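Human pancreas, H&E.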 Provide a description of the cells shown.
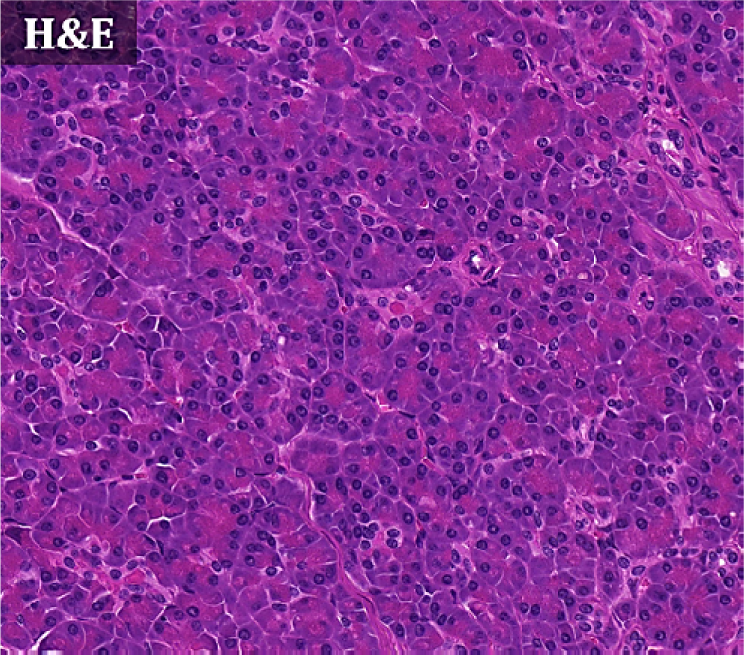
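This is exocrine pancreatic parenchyma made of closely packed acinar cells. The cells are pyramidal and gather in small rounded acini around tiny central lumens, which give a rosette-like pattern. Each cell has a round, dark purple nucleus placed toward the base of the cell. The basal cytoplasm stains deeper purple, while the apical cytoplasm facing the lumen is pinker. The acini lie back to back with only thin strands of pink connective tissue between them. A few thicker fibrous septa cross the field, especially toward the upper right, dividing the tissue into lobules.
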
